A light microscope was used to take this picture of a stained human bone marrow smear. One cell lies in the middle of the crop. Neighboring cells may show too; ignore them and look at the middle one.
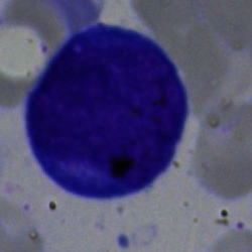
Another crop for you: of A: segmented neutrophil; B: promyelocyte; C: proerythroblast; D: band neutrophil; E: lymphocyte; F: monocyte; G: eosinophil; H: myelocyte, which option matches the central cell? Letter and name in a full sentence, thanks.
The correct choice is option C, which identifies the middle cell as a proerythroblast.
